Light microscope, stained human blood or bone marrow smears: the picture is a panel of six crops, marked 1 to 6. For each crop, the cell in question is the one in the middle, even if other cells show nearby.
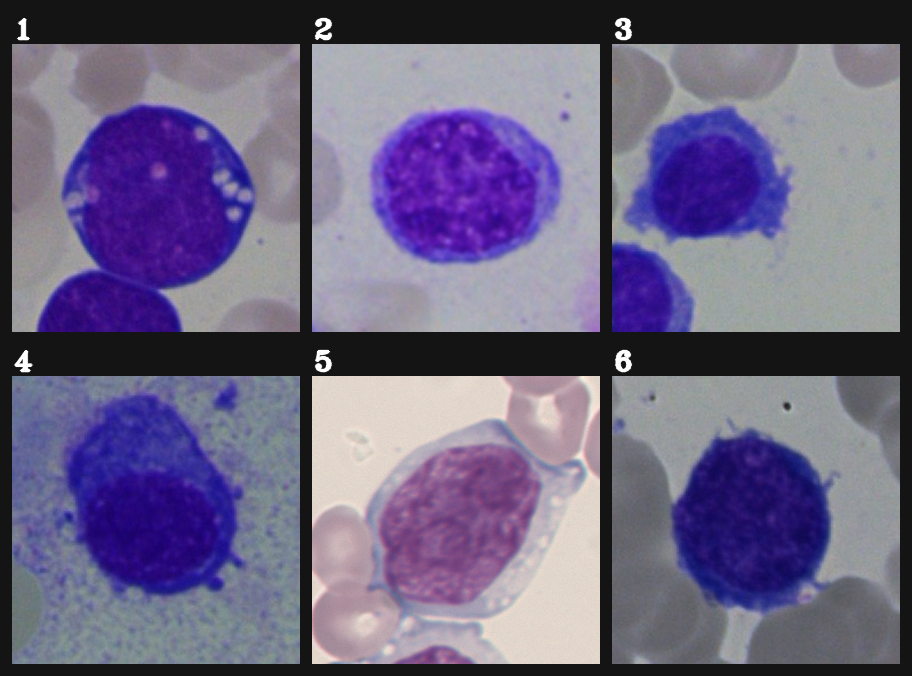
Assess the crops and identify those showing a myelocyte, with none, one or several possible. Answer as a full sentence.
Absent from the centre of every crop is a myelocyte.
